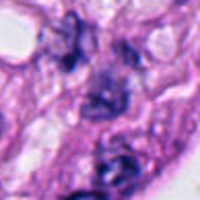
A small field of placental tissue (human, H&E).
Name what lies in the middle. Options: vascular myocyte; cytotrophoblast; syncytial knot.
cytotrophoblast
